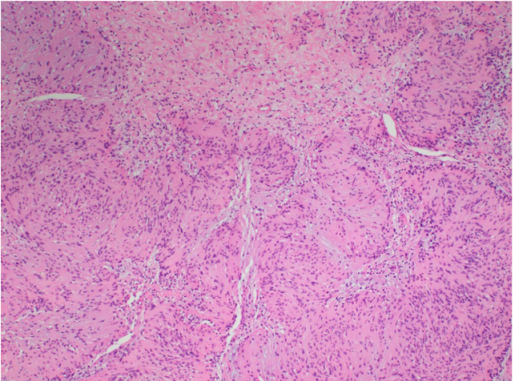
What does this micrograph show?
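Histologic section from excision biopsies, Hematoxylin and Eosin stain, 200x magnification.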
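This is a nerve sheath tumour seen at higher power, made of spindle-shaped Schwann cells. Toward the top and in strips between the bundles the tissue becomes paler and looser, with fewer, more scattered nuclei lying in a light, watery-looking background. These two patterns, a compact cellular one and a loose hypocellular one, sit side by side. A few thin, empty-looking vessel spaces cut through the tissue.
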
